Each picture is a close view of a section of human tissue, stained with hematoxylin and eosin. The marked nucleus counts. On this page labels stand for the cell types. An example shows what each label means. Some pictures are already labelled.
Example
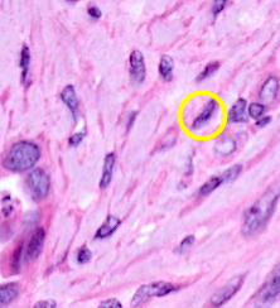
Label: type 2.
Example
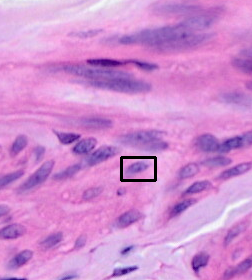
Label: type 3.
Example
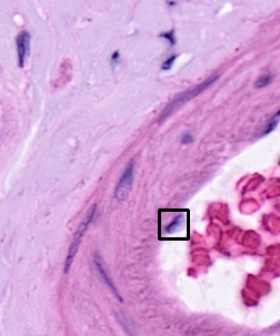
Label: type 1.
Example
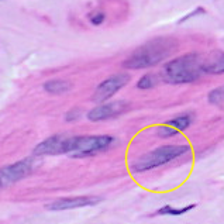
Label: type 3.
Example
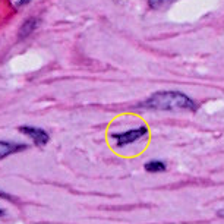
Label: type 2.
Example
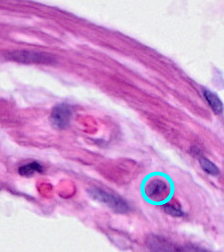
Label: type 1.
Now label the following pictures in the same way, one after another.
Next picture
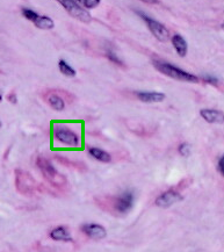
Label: type 3.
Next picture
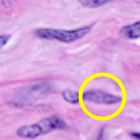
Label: type 3.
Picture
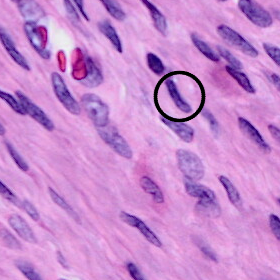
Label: type 2.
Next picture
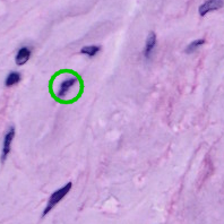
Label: type 2.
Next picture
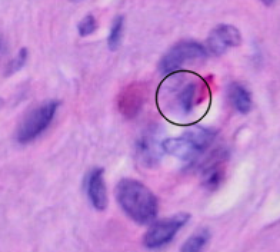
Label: type 1.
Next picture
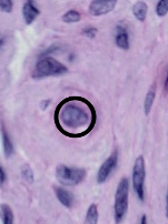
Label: type 1.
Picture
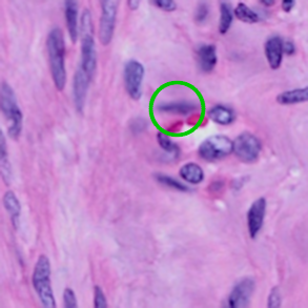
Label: type 1.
